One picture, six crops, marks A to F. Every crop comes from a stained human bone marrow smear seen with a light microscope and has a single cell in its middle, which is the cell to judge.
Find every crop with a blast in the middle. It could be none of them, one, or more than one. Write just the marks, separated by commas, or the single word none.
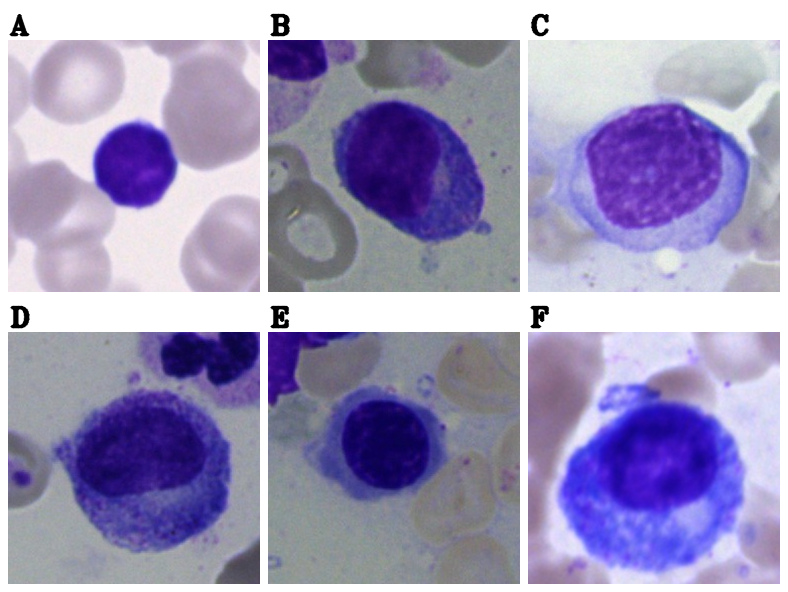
B, C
